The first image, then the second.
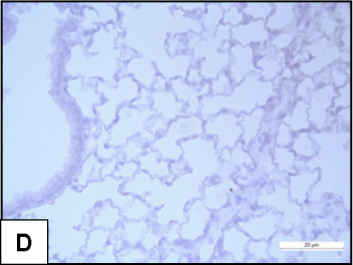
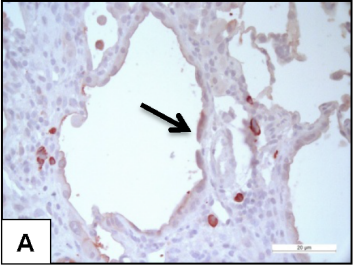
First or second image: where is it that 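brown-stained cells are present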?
The second image.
